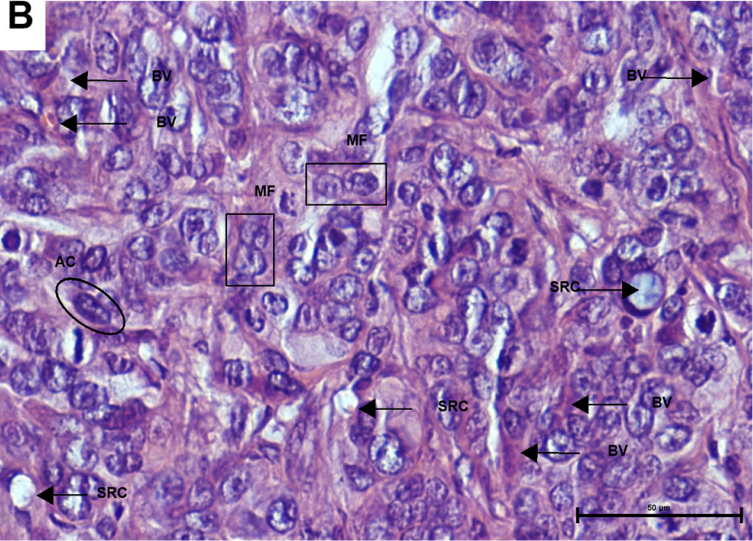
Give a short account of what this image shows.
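This is tumor tissue made of crowded, poorly organised tumor cells gathered in nests between pink fibrous strands. The nuclei are large, oval to irregular, and vary clearly in size and shape, with pale chromatin and visible nucleoli. The cytoplasm is pink and often scant, with indistinct cell borders. A few cells contain a clear round vacuole that pushes the nucleus to one side. Wavy pink strands of connective tissue run between the cell groups, and narrow elongated spaces within them resemble small vessels.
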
